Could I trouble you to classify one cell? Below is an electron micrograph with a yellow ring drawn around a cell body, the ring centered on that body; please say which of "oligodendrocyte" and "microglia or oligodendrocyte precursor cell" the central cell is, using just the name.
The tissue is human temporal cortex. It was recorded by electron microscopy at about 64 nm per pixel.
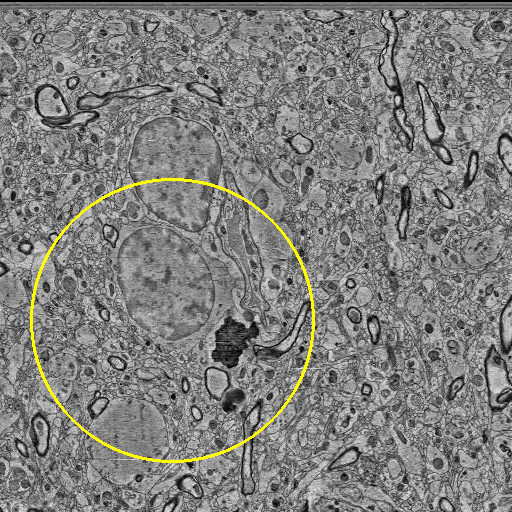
oligodendrocyte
